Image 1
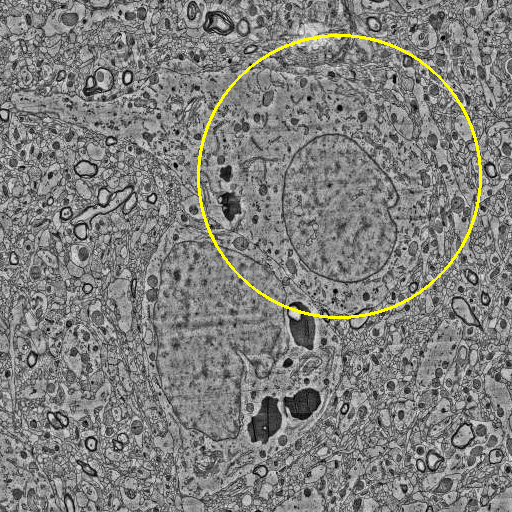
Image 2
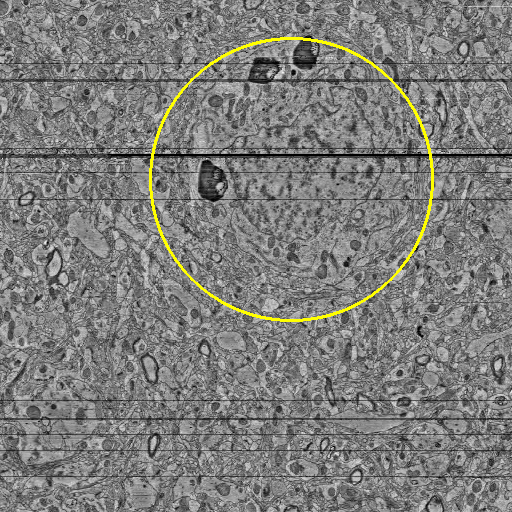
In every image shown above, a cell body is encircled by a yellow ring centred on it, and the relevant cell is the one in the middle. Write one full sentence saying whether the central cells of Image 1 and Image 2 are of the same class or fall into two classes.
The cell at the ring's centre in Image 1 and its counterpart in Image 2 fall into two classes.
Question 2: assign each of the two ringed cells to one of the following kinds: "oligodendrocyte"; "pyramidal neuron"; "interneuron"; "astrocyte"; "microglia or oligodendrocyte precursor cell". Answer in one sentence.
The two cells are a pyramidal neuron in the first picture and an interneuron in the second.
